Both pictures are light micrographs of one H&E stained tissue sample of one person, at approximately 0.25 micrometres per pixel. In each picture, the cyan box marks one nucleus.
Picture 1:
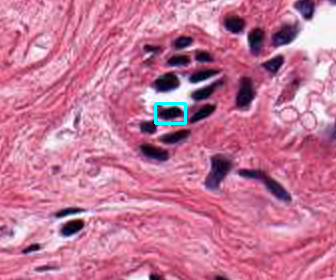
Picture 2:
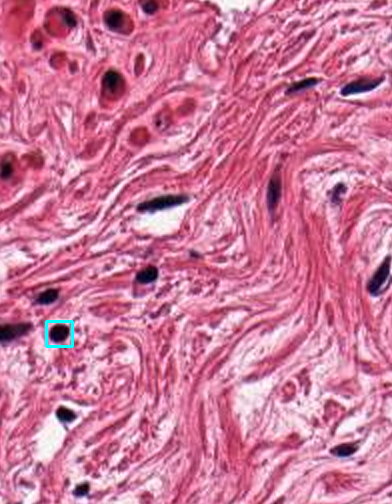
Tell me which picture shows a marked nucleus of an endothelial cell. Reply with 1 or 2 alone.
1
